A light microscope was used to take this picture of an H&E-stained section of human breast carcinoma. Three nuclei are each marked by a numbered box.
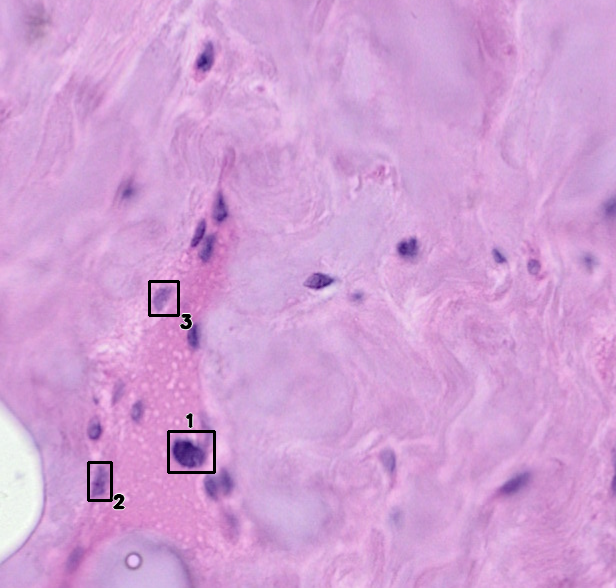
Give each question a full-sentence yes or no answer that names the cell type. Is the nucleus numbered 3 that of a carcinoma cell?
No, cell 3 is correctly identified as a fibroblast and not as a carcinoma cell.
